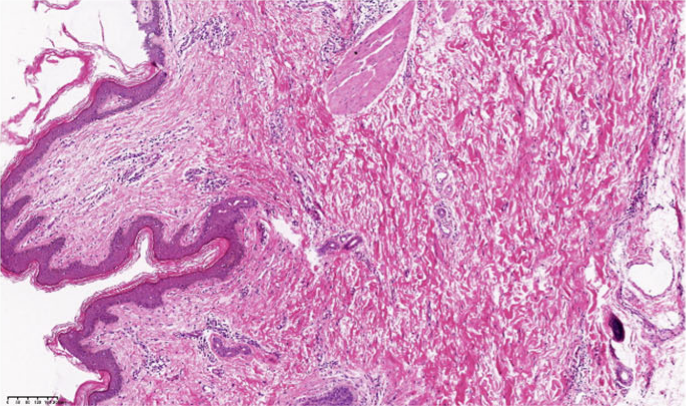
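This is skin, with a stratified squamous epidermis along the left edge whose purple basal and spinous layers form undulating rete ridges beneath a thin pink cornified layer. Below it, the dermis is made of dense, interwoven pink collagen bundles. Small blood vessels run through the upper and deeper dermis, and some have small clusters of dark-nuclei cells around them. A pink bundle of smooth muscle lies near the top of the dermis, and adnexal structures appear at the lower right.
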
